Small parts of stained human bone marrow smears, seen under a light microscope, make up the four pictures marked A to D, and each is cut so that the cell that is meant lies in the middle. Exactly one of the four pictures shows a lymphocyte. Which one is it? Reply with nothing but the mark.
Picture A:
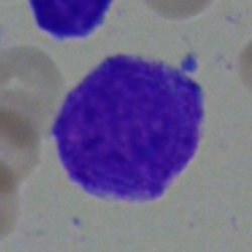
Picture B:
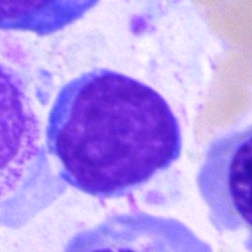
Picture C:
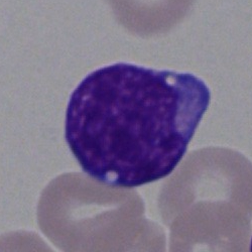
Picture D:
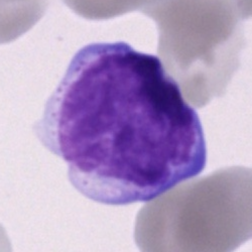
B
